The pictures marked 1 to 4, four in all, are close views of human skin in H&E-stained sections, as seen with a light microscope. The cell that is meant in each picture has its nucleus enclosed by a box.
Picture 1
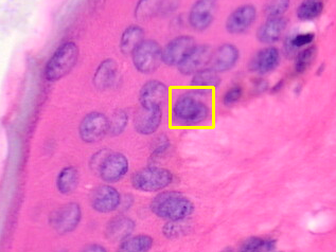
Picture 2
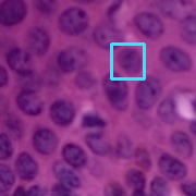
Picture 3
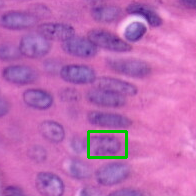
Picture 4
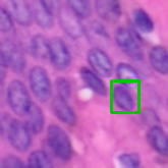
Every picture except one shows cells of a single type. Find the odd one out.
2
